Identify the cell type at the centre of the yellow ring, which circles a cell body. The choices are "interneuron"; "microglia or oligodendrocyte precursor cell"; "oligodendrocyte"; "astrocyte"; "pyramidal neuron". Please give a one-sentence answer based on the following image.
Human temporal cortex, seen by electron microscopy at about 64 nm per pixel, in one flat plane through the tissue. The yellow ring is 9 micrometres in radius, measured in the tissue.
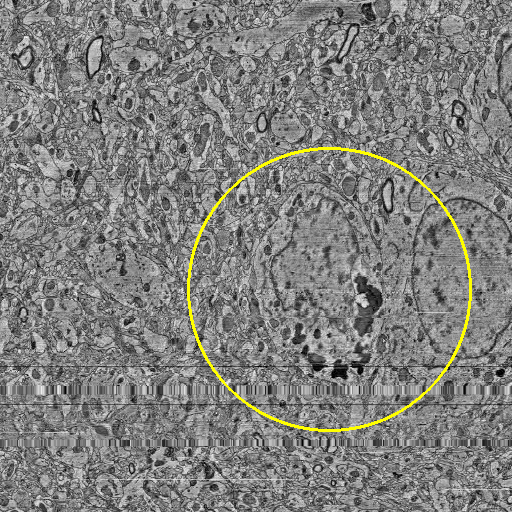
The cell marked by the ring is an interneuron.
